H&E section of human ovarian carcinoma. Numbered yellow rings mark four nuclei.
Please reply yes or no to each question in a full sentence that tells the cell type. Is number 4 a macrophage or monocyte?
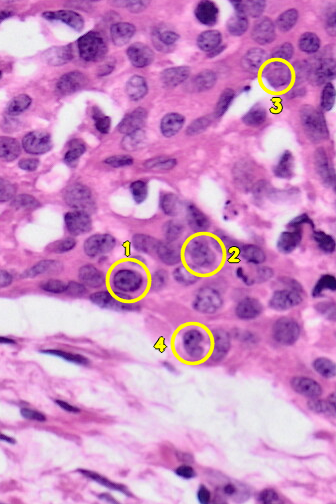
Yes, cell number 4 in this section is a macrophage or monocyte.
